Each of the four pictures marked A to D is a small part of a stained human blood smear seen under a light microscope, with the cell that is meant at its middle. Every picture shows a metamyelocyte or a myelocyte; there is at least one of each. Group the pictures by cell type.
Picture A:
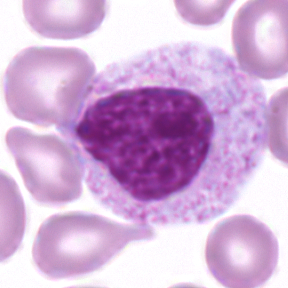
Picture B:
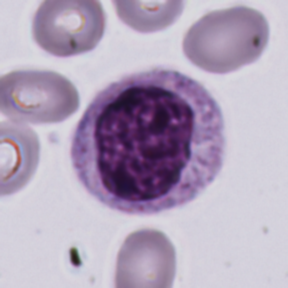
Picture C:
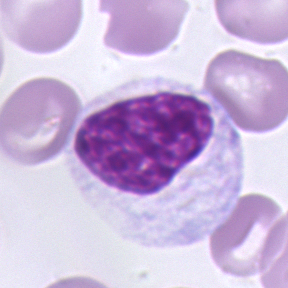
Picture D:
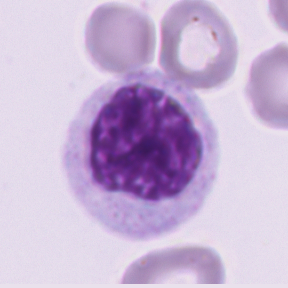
A: myelocyte
B: metamyelocyte
C: metamyelocyte
D: metamyelocyte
